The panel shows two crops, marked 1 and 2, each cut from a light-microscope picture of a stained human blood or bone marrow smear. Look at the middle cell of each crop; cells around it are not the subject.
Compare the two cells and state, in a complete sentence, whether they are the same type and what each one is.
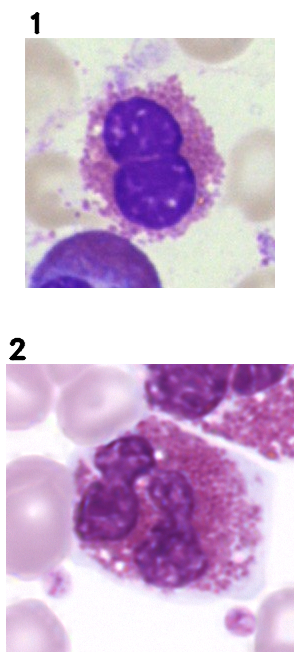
Yes, the same answer goes for both crops, namely eosinophils.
